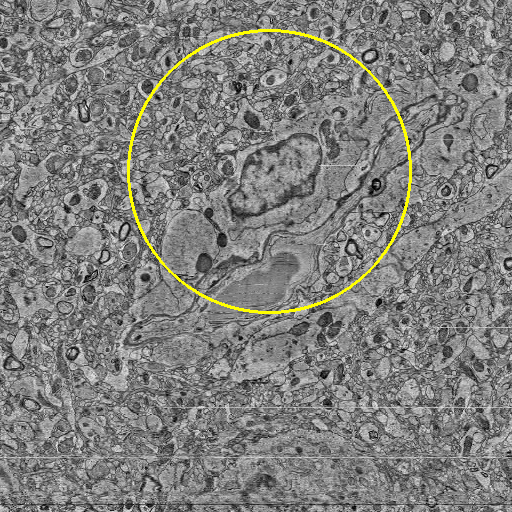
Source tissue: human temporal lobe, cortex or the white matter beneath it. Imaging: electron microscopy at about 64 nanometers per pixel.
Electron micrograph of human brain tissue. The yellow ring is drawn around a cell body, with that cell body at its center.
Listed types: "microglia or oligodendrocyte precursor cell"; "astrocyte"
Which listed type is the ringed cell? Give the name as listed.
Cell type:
microglia or oligodendrocyte precursor cell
